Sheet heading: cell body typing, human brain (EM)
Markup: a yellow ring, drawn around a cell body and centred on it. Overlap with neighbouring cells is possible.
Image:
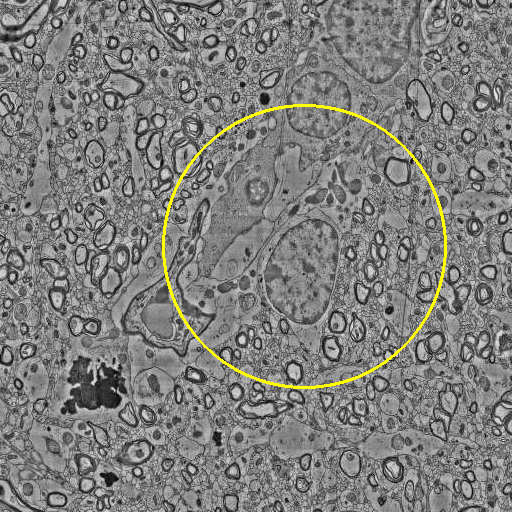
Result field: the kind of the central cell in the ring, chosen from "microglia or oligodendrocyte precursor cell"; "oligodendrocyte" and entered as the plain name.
microglia or oligodendrocyte precursor cell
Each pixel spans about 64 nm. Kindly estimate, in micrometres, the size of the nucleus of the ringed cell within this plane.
The nucleus has a long axis of about 7 micrometres and a short axis of about 5 micrometres in this plane.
